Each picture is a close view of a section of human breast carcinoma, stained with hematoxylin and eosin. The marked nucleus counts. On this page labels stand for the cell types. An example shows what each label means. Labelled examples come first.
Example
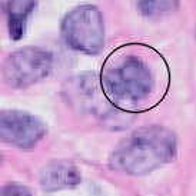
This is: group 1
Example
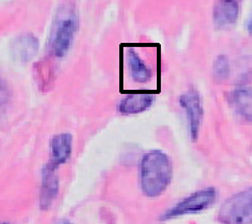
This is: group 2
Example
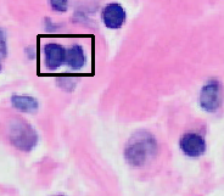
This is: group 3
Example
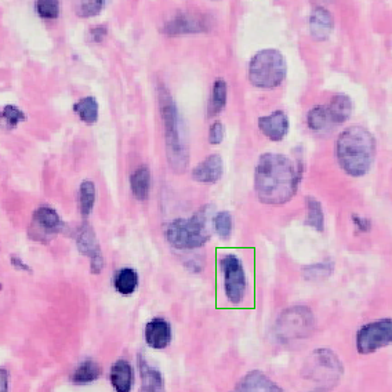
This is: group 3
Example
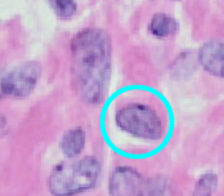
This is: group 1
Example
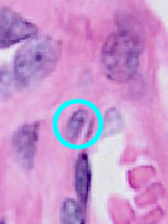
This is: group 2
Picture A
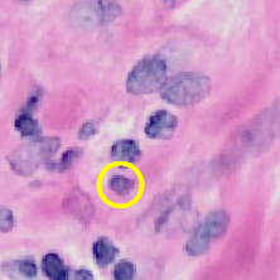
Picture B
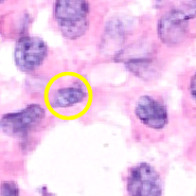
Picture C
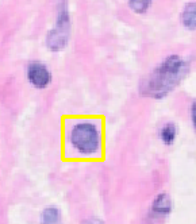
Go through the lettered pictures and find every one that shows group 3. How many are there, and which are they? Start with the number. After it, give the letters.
2, namely A, C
